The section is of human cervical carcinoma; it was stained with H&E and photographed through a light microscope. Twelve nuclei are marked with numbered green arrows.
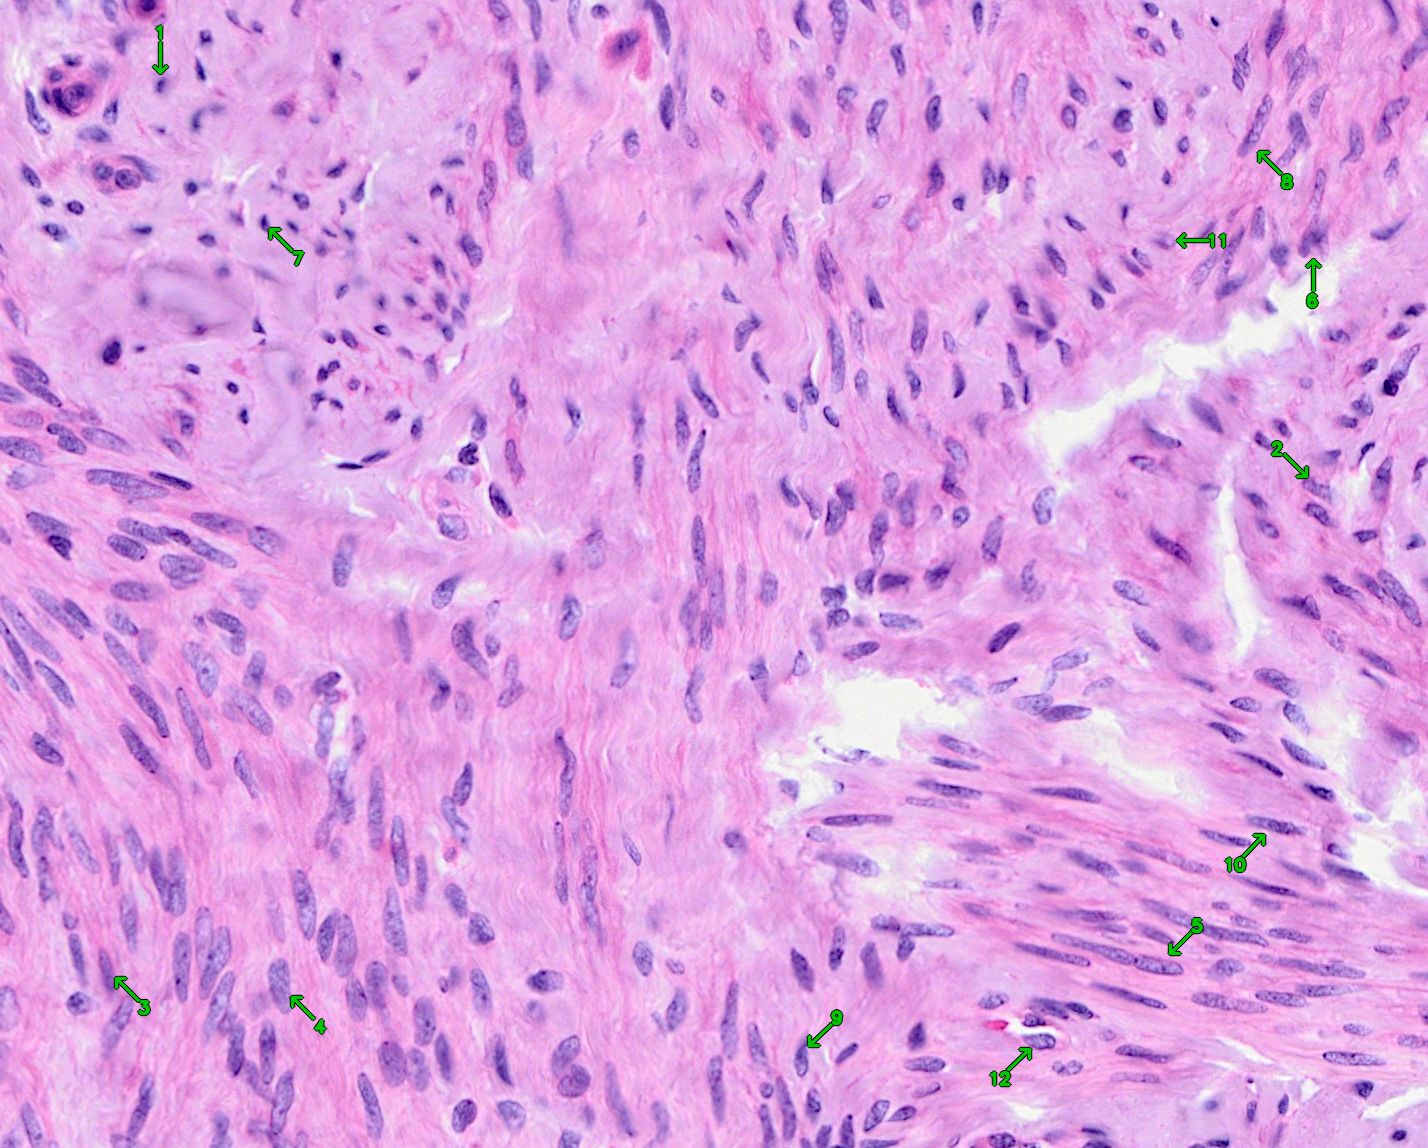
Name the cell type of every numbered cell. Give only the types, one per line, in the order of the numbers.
fibroblast
smooth muscle cell
smooth muscle cell
smooth muscle cell
smooth muscle cell
smooth muscle cell
fibroblast
smooth muscle cell
fibroblast
fibroblast
smooth muscle cell
endothelial cell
